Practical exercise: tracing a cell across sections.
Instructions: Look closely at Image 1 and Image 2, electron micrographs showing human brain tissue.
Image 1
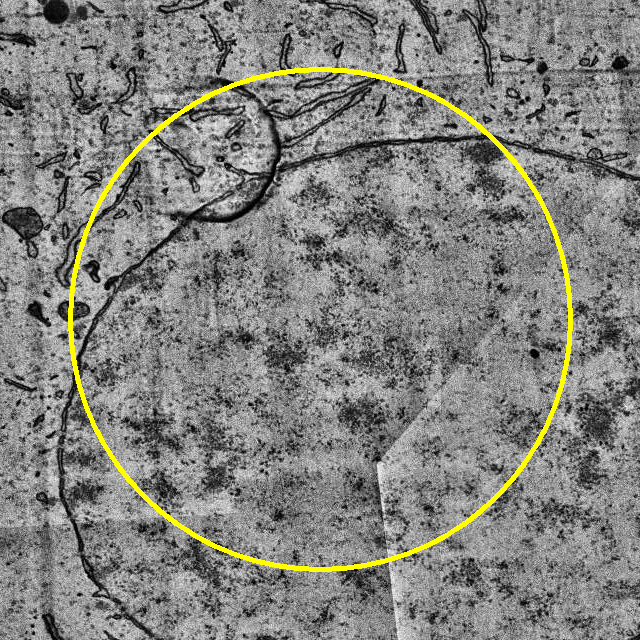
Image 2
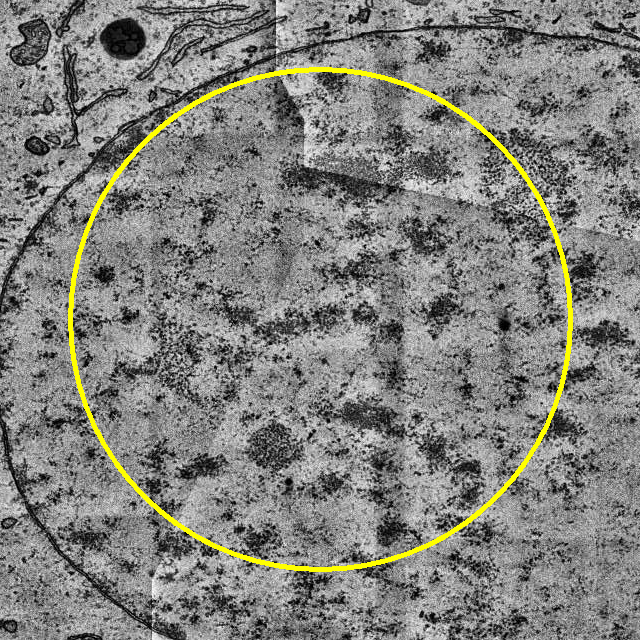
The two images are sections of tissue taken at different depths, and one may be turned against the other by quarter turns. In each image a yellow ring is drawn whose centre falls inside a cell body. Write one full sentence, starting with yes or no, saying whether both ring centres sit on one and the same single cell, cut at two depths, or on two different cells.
No, a single cell is not marked twice here; two cells are marked.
